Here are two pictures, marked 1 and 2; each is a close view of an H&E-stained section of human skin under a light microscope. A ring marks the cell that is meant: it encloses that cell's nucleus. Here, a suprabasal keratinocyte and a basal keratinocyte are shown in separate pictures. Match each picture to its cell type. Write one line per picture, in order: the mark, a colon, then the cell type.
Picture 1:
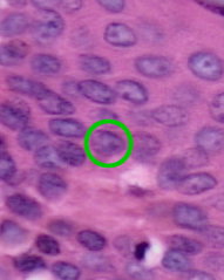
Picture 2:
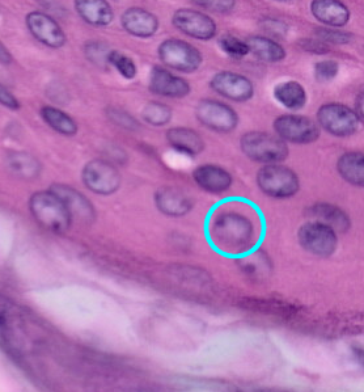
1: basal keratinocyte
2: suprabasal keratinocyte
